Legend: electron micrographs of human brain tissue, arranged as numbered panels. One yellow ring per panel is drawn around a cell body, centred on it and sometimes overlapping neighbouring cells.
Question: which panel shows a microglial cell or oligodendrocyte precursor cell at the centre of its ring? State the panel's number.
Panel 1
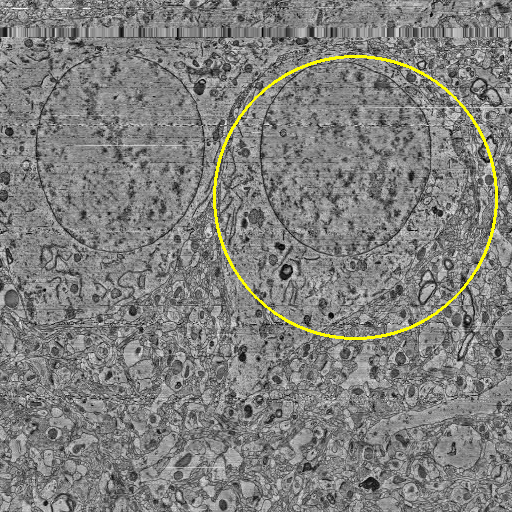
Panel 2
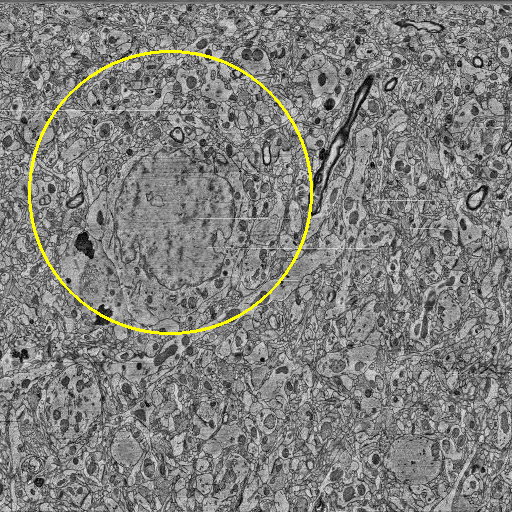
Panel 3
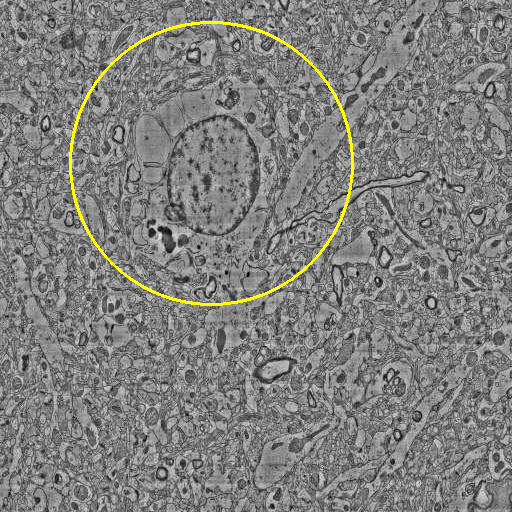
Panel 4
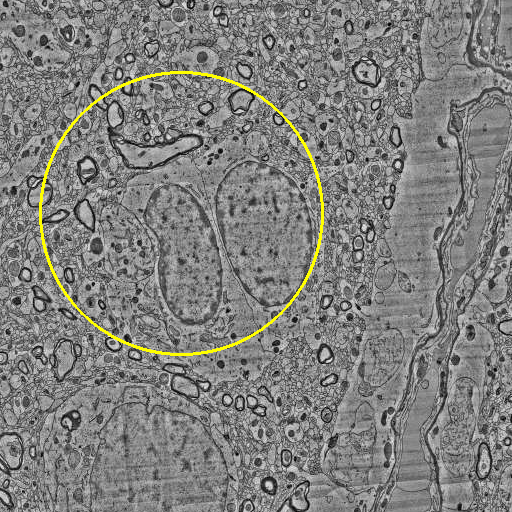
4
